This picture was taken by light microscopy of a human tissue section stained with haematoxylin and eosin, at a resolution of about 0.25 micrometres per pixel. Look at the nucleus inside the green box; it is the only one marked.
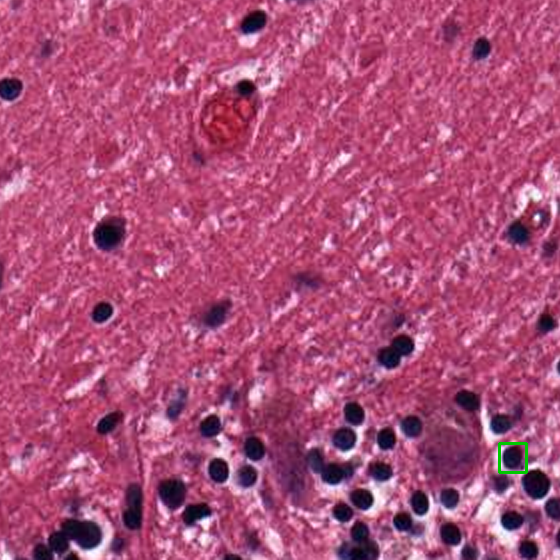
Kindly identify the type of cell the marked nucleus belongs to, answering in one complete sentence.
A nucleus of a cerebellar granule cell is the one that is marked.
